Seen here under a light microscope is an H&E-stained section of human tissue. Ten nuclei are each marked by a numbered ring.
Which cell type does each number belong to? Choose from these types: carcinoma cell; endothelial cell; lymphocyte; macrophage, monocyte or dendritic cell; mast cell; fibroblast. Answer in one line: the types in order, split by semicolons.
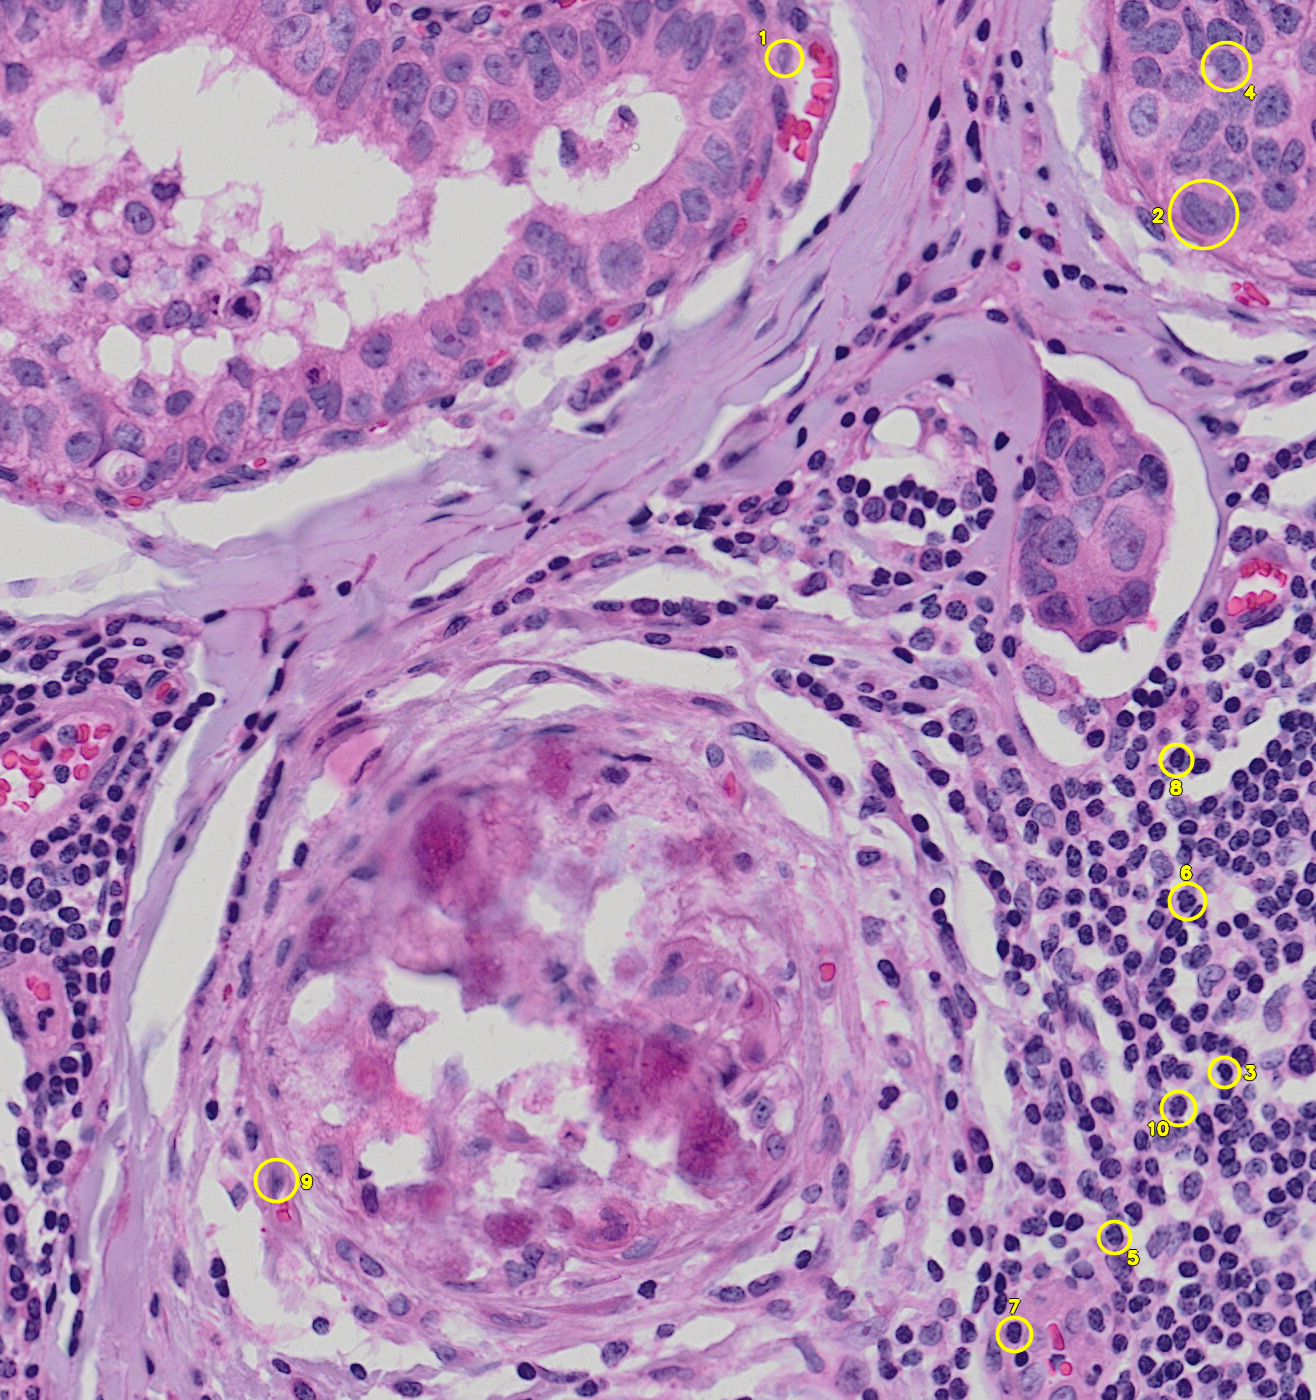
endothelial cell; carcinoma cell; lymphocyte; carcinoma cell; lymphocyte; lymphocyte; lymphocyte; lymphocyte; endothelial cell; lymphocyte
